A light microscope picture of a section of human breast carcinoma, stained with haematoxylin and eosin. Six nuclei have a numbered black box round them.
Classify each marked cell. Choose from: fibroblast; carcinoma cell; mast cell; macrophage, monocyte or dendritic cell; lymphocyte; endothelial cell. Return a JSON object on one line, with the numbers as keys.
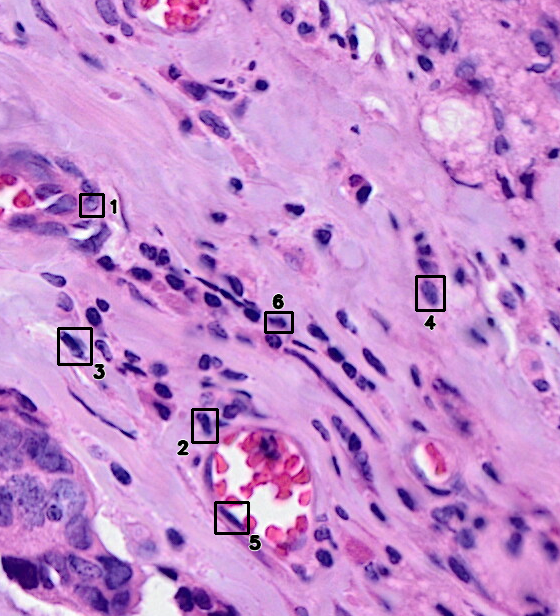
{"1": "endothelial cell", "2": "lymphocyte", "3": "lymphocyte", "4": "mast cell", "5": "endothelial cell", "6": "lymphocyte"}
